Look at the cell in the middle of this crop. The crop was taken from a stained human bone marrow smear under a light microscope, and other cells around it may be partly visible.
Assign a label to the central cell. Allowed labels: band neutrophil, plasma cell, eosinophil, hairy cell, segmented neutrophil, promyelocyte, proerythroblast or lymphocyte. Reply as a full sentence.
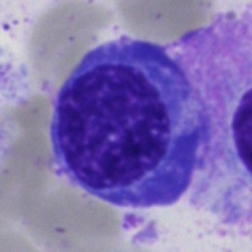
The cell centered in this field of view is a plasma cell.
